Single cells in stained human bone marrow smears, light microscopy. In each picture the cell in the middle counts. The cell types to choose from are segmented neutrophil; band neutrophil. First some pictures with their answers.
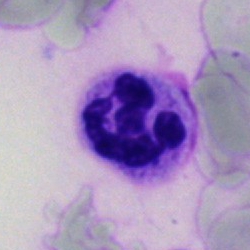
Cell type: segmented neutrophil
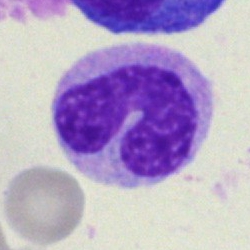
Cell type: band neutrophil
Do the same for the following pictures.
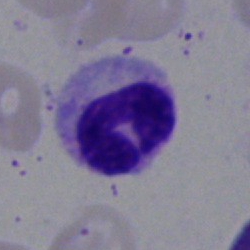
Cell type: segmented neutrophil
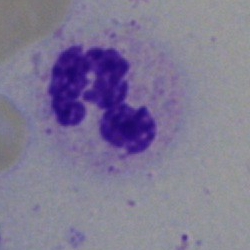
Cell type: segmented neutrophil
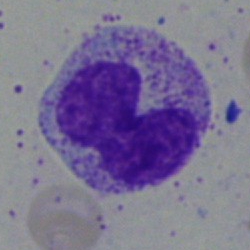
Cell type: band neutrophil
